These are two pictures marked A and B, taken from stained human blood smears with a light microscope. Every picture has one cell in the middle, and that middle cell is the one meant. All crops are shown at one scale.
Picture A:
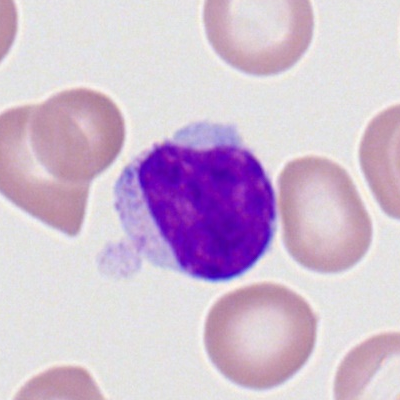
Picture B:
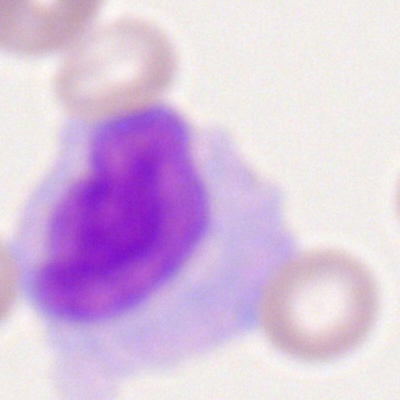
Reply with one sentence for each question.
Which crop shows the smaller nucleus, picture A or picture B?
Smaller is the nucleus in picture B, and the other is about 1.5 times as large in area.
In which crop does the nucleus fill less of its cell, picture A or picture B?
The nucleus fills less of the cell in picture B than in picture A.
